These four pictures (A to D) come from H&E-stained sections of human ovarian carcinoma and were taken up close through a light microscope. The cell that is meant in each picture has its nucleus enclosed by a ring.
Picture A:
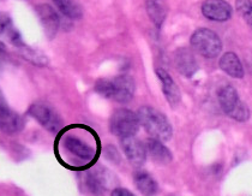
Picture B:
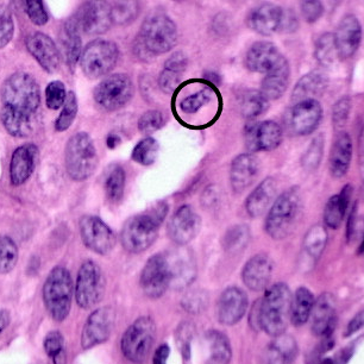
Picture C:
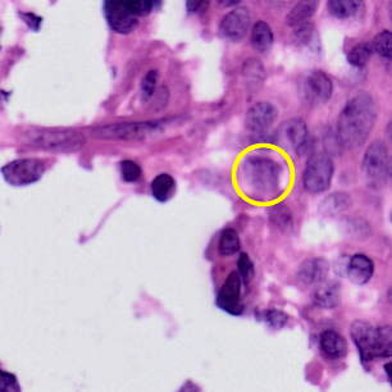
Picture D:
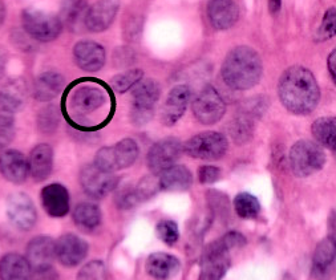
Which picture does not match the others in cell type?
B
